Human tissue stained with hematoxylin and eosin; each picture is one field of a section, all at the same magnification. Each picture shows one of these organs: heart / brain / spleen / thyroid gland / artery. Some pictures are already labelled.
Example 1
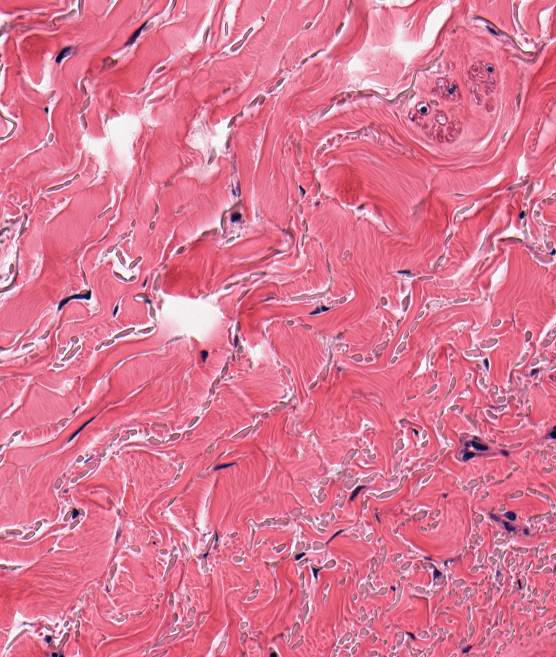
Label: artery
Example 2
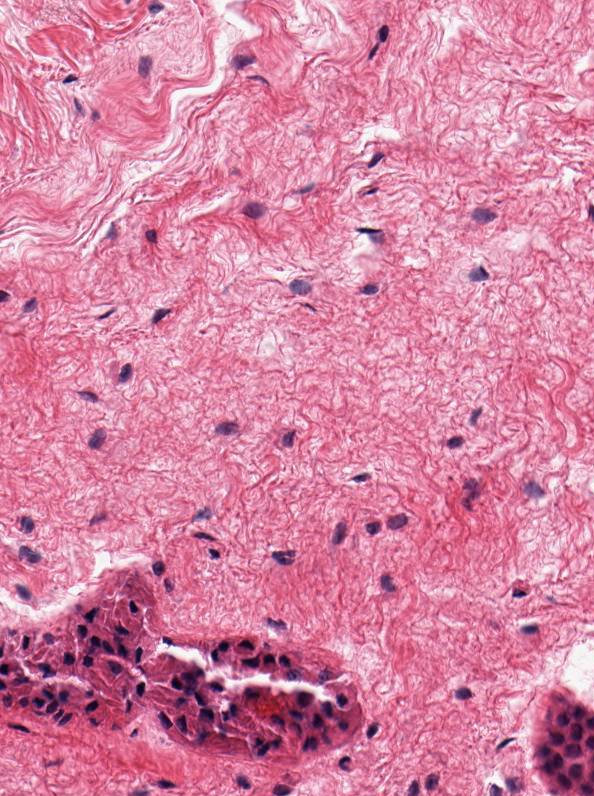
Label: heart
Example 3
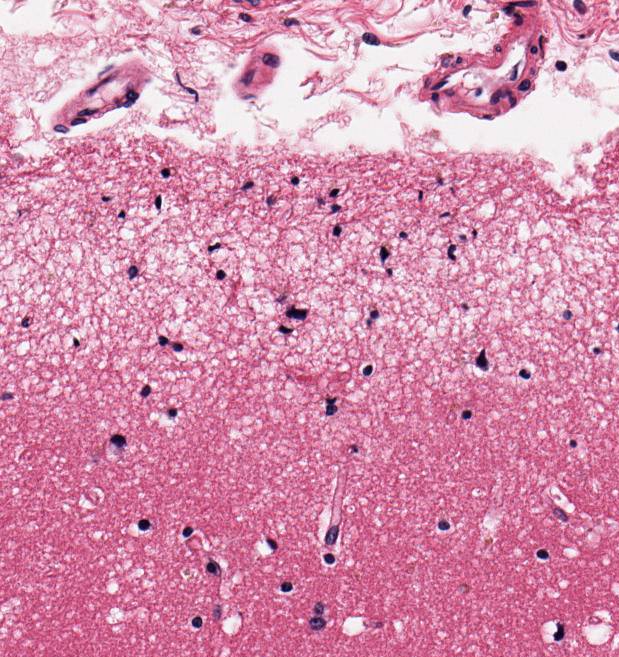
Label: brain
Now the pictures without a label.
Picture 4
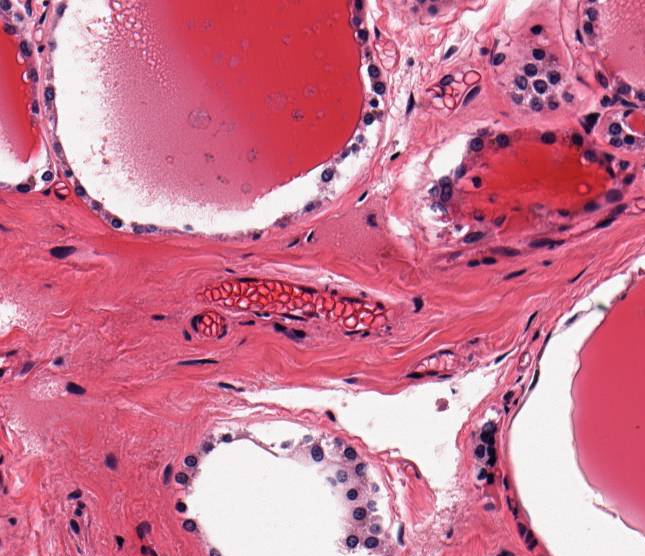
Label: thyroid gland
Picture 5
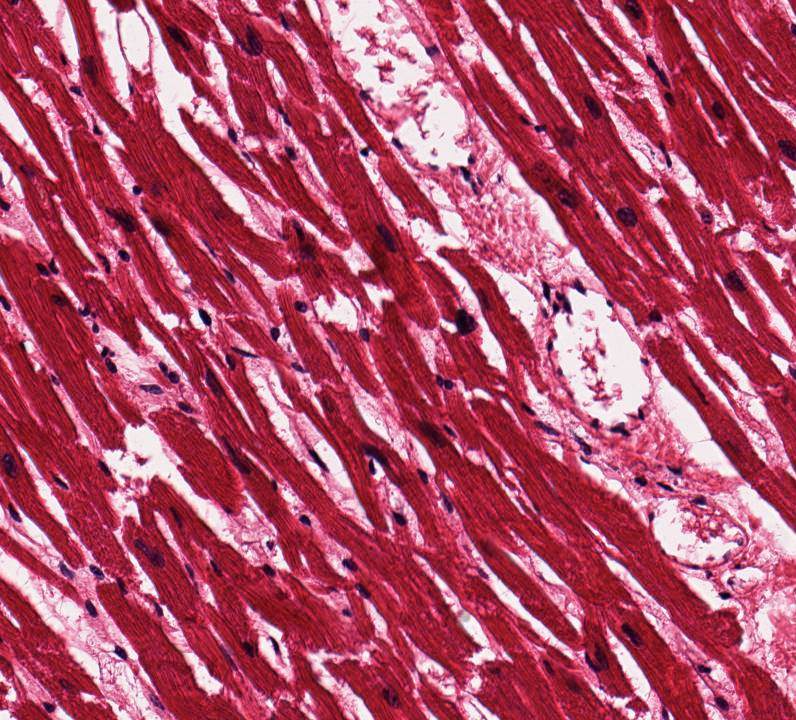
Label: heart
